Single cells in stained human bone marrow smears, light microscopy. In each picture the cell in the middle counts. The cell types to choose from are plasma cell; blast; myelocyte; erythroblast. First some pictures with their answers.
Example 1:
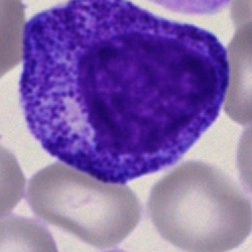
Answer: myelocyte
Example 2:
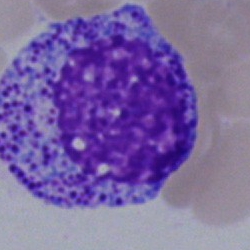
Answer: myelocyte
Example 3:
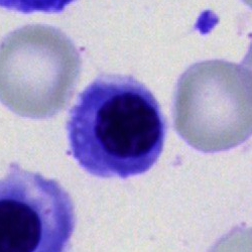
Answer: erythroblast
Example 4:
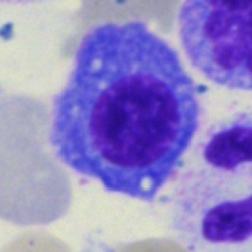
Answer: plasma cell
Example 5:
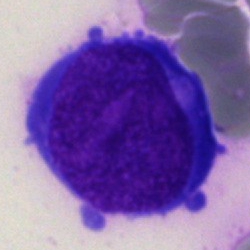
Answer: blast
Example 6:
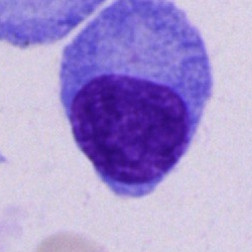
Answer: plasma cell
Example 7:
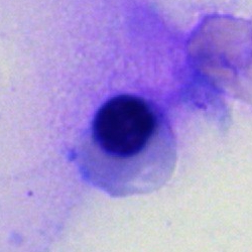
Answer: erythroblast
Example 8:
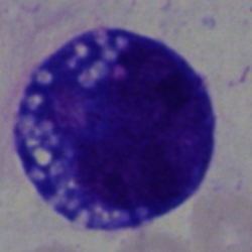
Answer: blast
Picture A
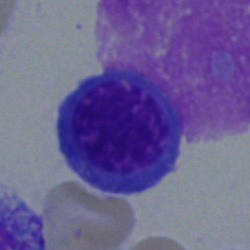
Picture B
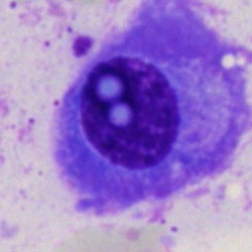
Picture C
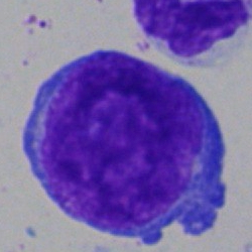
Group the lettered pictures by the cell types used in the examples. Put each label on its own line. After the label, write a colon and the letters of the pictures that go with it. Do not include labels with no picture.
plasma cell: B
blast: C
erythroblast: A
